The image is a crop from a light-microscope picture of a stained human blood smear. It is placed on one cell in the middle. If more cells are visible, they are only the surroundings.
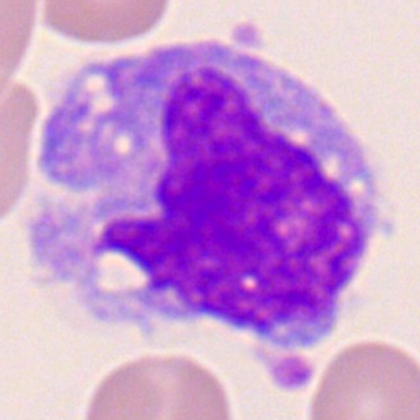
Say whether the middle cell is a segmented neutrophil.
no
